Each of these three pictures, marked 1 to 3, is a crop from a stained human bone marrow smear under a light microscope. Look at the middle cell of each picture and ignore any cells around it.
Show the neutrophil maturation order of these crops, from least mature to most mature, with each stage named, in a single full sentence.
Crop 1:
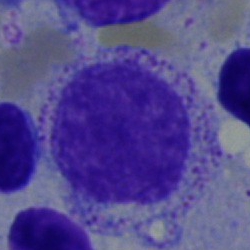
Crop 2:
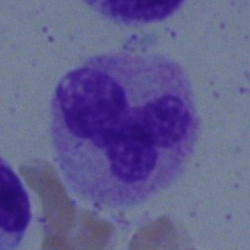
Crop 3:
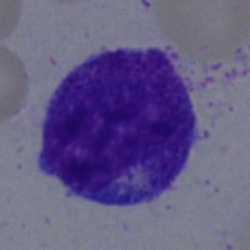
Reading from least to most mature, the order comes out as crop 3 (a promyelocyte), crop 1 (a myelocyte) and crop 2 (a band neutrophil).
